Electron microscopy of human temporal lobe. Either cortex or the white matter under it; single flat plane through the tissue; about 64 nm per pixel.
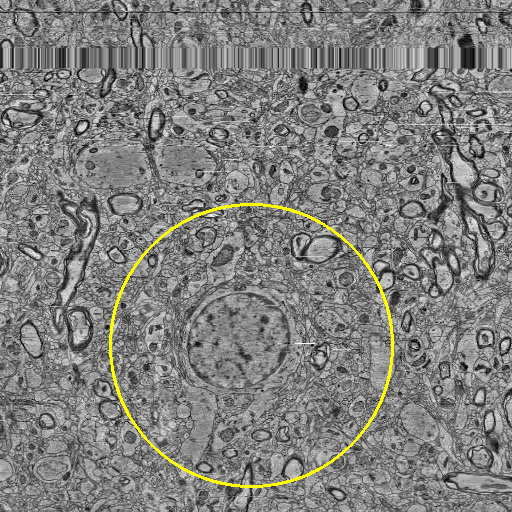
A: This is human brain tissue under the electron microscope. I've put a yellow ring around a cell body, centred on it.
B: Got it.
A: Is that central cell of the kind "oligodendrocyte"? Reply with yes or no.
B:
no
